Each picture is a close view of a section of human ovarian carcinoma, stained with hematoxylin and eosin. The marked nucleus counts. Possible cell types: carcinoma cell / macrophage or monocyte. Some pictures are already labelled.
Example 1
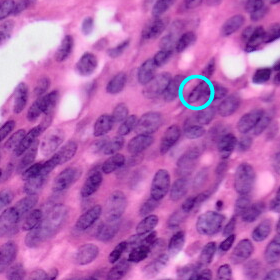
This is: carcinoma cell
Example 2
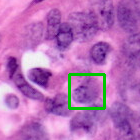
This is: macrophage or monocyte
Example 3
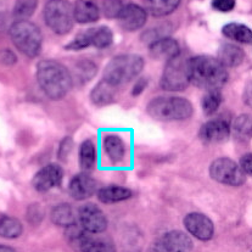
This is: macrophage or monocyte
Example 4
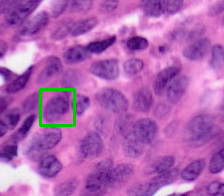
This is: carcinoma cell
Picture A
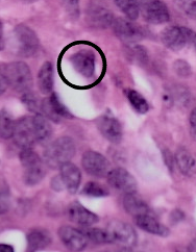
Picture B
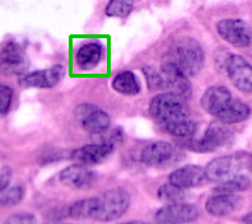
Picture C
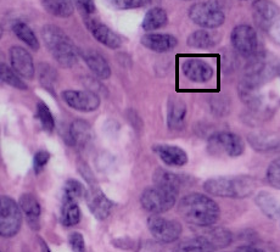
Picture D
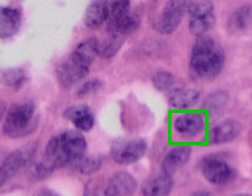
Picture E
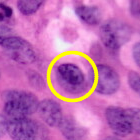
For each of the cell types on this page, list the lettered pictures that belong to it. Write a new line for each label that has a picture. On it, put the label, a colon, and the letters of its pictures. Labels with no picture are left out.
carcinoma cell: E
macrophage or monocyte: A, B, C, D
